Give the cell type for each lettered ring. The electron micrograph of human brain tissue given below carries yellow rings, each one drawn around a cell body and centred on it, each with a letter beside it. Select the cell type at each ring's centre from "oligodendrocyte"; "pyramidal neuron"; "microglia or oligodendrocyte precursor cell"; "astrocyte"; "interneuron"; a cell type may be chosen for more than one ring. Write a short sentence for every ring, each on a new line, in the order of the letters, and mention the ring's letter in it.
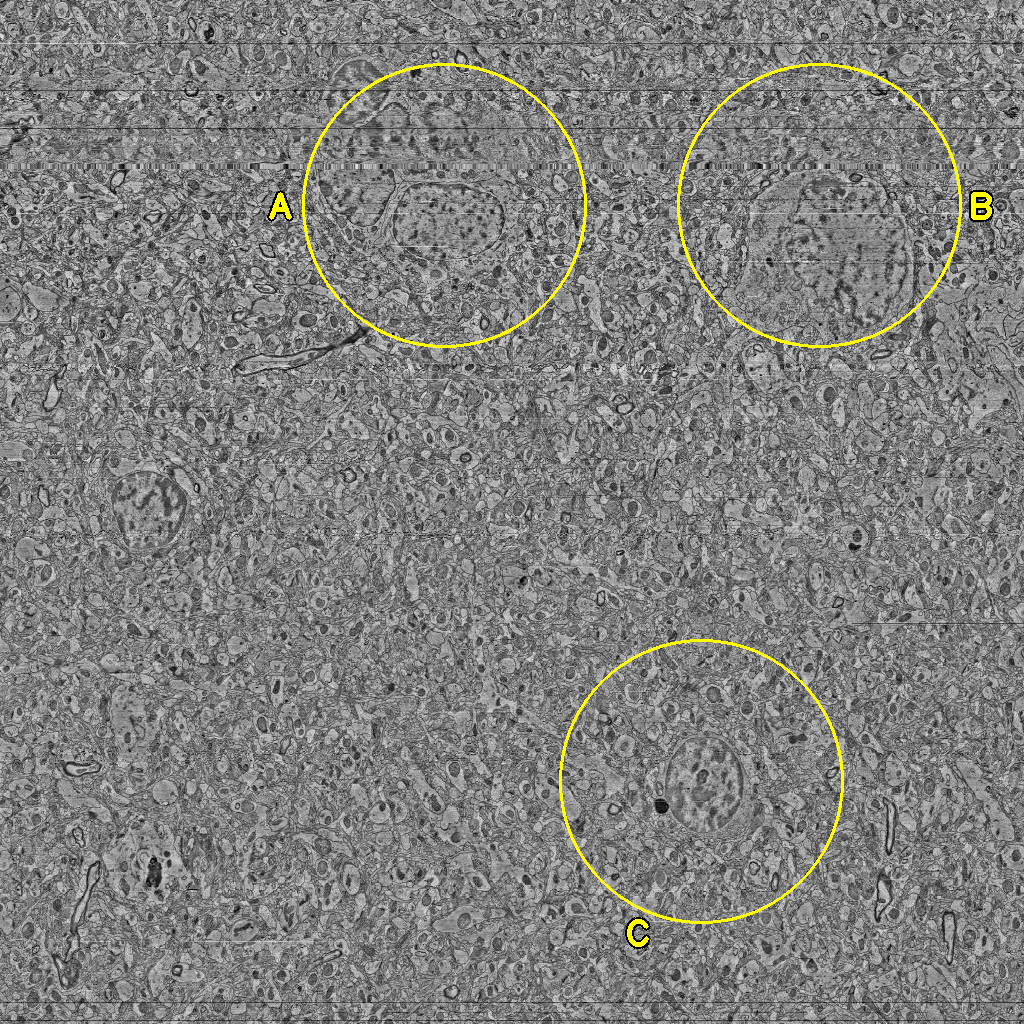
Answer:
The cell type for ring A is a microglial cell or oligodendrocyte precursor cell.
The cell type for ring B is an interneuron.
The cell type for ring C is an oligodendrocyte.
